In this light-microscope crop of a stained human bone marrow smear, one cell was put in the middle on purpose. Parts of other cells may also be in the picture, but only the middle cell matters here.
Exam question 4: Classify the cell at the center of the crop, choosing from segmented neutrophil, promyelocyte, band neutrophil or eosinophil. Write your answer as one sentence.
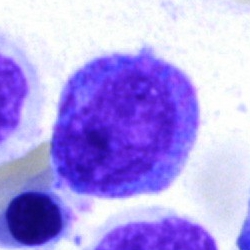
At the crop's centre, the cell is a promyelocyte.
